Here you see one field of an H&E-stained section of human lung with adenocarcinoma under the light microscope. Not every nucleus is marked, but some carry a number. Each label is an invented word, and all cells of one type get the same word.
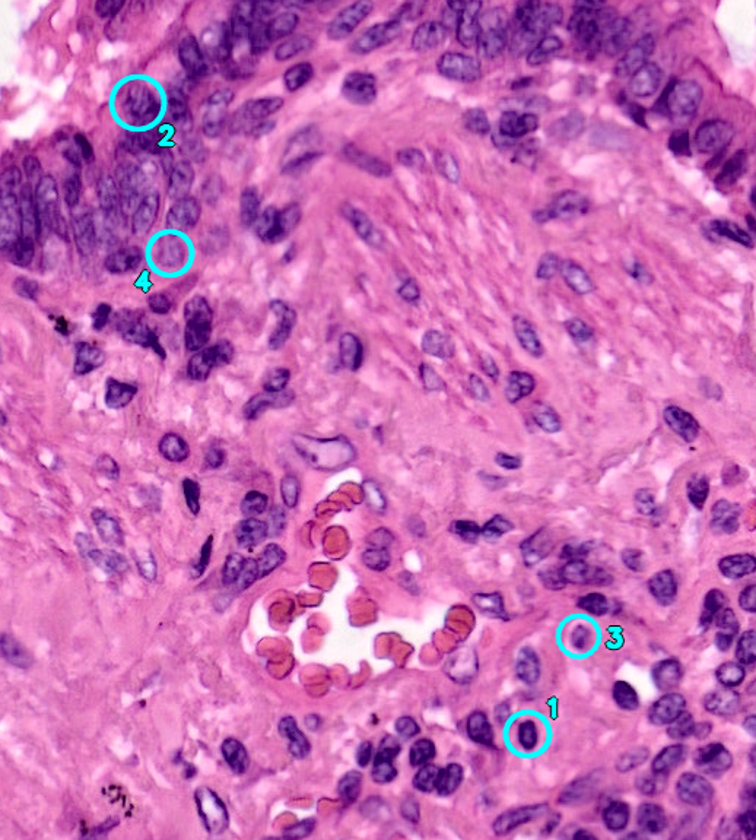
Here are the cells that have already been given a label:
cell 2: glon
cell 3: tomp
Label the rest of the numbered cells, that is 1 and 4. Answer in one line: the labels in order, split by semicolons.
tomp; glon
